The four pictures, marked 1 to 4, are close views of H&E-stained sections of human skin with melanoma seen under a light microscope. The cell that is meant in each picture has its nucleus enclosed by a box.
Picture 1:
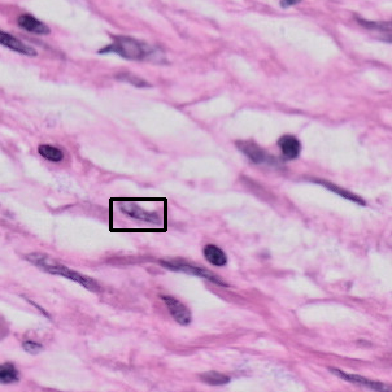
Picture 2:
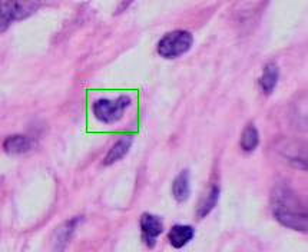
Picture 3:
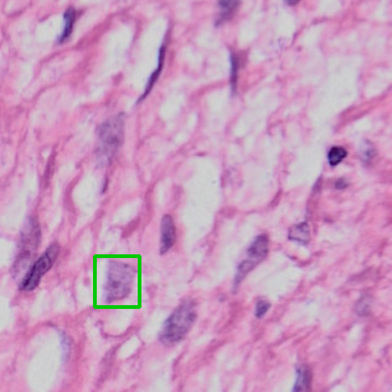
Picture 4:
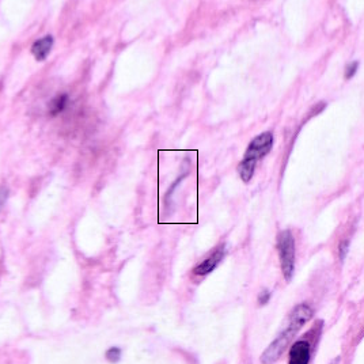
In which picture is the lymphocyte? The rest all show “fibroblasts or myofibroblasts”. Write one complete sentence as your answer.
Picture 2 is the one that shows the lymphocyte.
